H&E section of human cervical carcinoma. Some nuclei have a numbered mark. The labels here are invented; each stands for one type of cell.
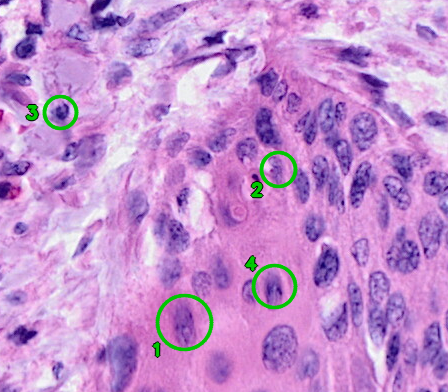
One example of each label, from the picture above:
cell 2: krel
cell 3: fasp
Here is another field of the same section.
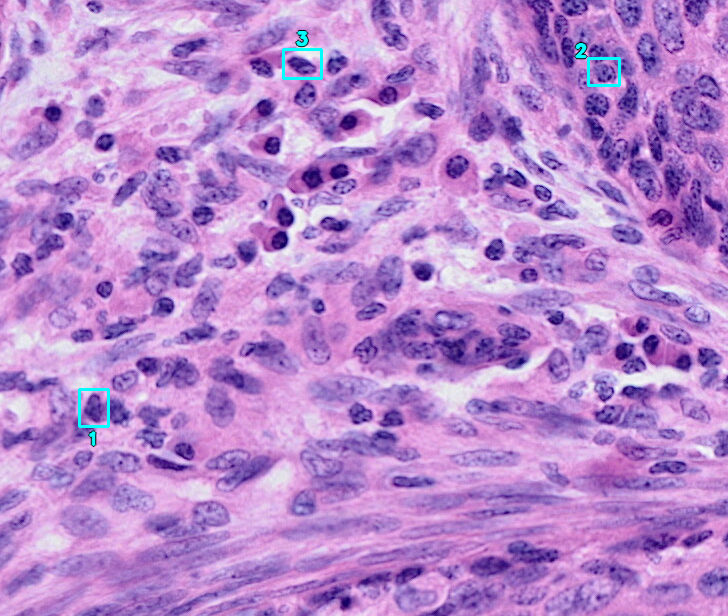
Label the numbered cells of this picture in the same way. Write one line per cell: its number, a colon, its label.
1: fasp
2: krel
3: fasp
